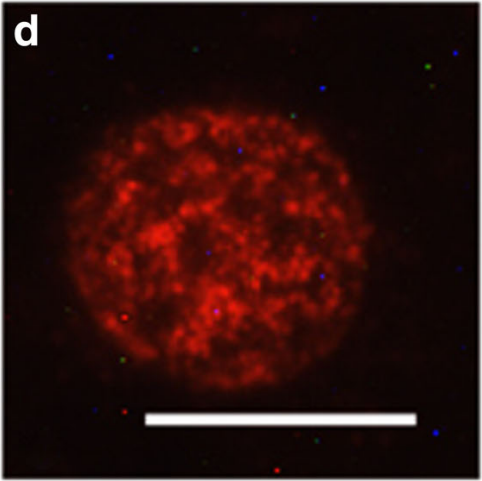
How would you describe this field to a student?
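The red label forms a network of irregular patches and short curved streaks across the whole cell rather than fine separate dots. Darker gaps run between the bright patches, giving the cell a mottled look. Scattered tiny coloured specks lie in the dark background around it.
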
